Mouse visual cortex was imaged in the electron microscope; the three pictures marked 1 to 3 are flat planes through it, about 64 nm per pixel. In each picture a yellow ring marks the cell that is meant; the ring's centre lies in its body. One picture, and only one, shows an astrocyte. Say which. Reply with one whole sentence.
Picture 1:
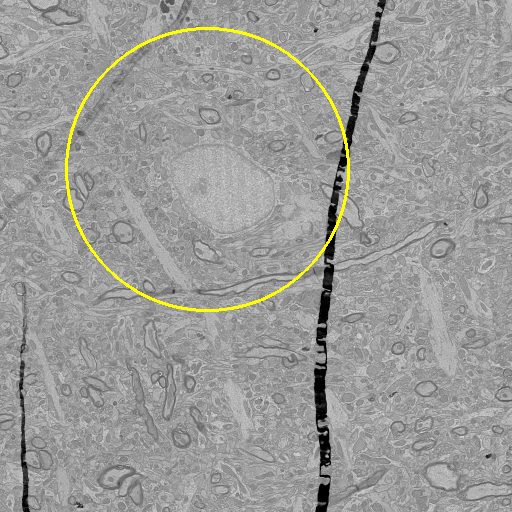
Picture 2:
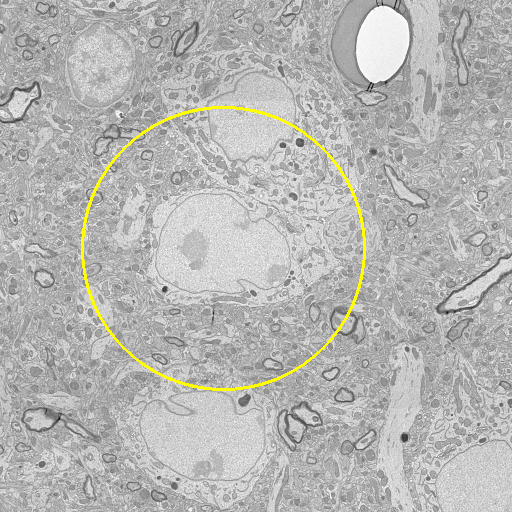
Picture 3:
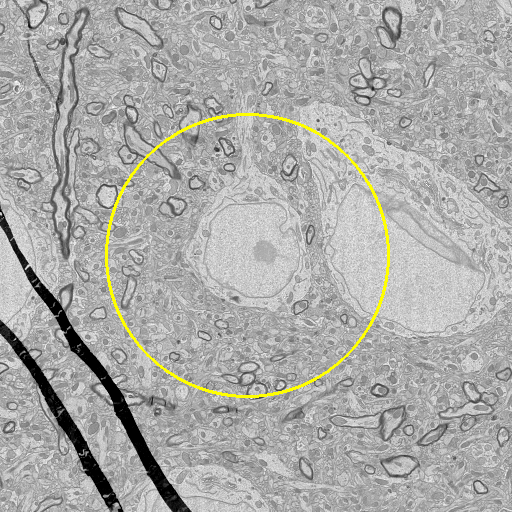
The picture with the astrocyte is 1.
